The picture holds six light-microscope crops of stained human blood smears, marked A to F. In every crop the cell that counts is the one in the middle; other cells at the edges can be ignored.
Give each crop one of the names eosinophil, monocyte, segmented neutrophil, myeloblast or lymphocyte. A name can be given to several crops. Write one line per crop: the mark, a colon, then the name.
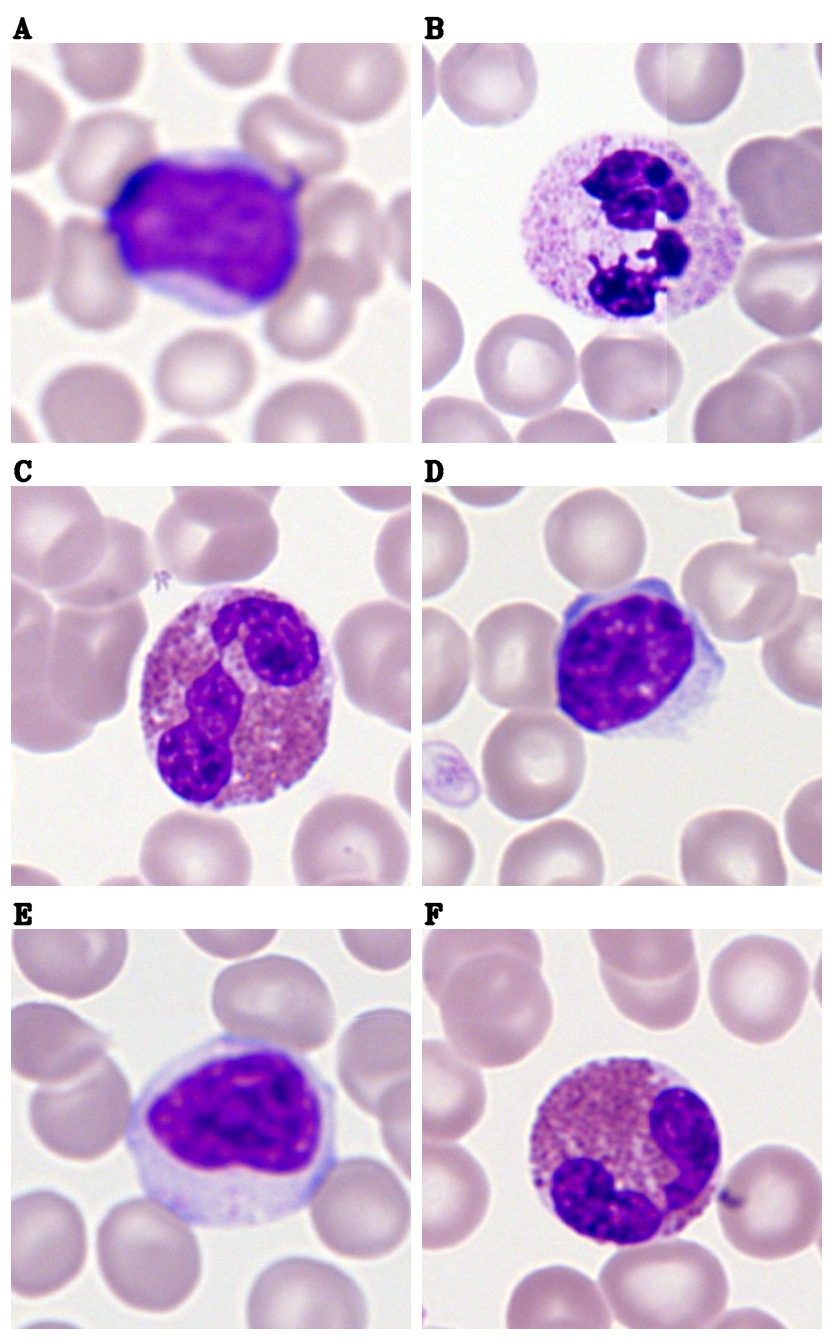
A: myeloblast
B: segmented neutrophil
C: eosinophil
D: lymphocyte
E: lymphocyte
F: eosinophil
